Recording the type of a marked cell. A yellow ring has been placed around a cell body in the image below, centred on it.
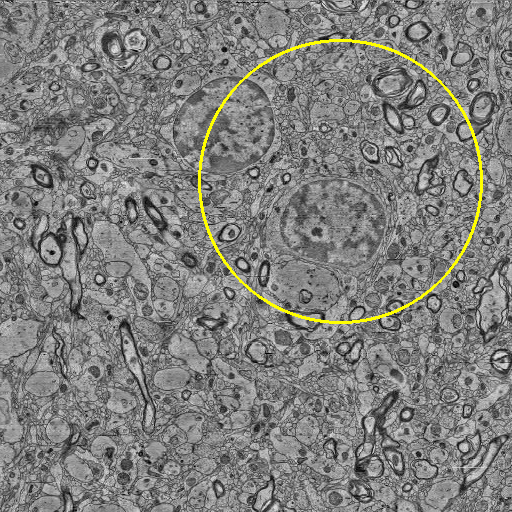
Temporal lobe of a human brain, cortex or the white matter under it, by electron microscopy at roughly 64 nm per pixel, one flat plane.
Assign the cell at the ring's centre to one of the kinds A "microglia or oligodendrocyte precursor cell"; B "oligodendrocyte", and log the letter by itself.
B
